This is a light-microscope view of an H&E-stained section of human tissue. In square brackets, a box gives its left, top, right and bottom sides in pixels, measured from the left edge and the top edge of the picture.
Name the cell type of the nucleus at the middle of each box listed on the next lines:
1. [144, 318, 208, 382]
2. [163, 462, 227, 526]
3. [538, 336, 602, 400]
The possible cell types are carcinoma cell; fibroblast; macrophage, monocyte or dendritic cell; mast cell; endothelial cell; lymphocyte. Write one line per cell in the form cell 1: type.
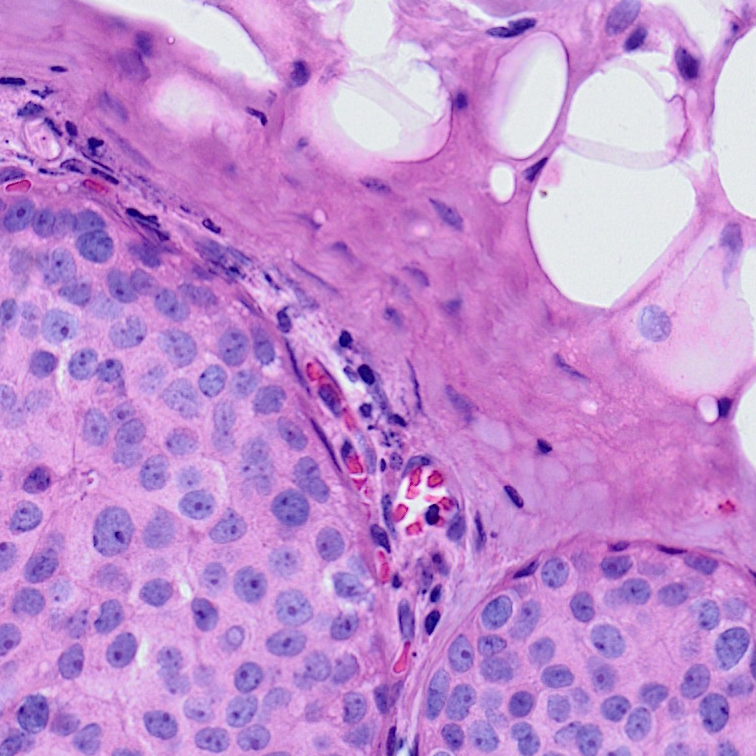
cell 1: carcinoma cell
cell 2: carcinoma cell
cell 3: fibroblast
